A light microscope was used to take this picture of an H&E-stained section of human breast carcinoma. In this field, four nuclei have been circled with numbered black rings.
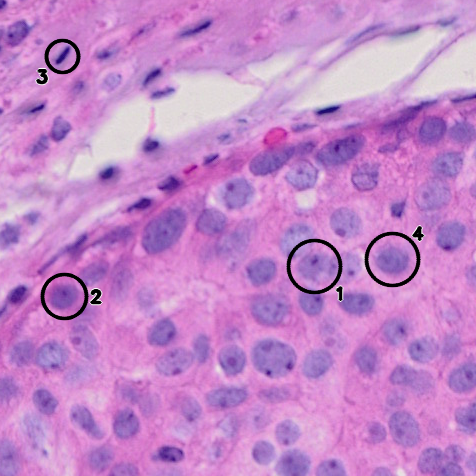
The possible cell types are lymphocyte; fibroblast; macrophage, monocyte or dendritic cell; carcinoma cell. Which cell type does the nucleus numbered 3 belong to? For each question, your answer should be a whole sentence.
At number 3, the marked cell is a lymphocyte.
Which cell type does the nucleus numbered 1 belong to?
The correct answer for cell 1 is a carcinoma cell.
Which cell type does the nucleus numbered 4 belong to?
As for number 4, that cell is a carcinoma cell.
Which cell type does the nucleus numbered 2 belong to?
Corresponding to a carcinoma cell is the cell labelled 2.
